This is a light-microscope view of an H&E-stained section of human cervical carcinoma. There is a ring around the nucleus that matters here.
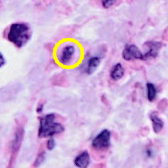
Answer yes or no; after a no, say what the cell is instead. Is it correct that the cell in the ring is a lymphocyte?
Yes.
